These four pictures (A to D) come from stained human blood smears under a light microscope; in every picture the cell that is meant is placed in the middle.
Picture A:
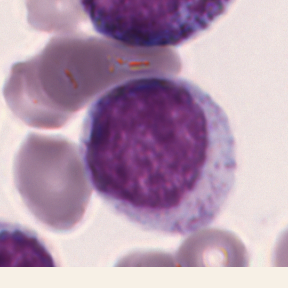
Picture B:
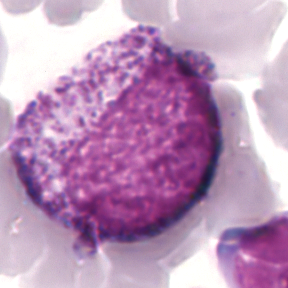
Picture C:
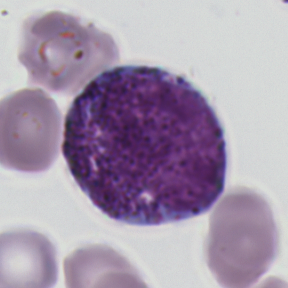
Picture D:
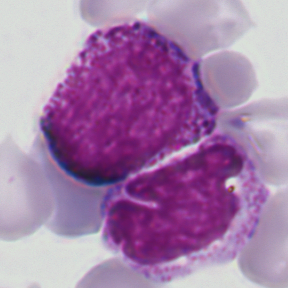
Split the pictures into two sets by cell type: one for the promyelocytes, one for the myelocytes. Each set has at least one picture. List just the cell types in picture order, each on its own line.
myelocyte
promyelocyte
promyelocyte
promyelocyte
